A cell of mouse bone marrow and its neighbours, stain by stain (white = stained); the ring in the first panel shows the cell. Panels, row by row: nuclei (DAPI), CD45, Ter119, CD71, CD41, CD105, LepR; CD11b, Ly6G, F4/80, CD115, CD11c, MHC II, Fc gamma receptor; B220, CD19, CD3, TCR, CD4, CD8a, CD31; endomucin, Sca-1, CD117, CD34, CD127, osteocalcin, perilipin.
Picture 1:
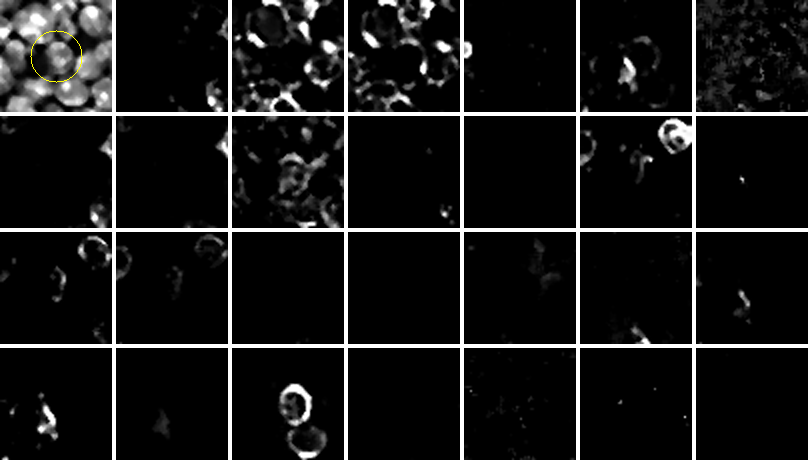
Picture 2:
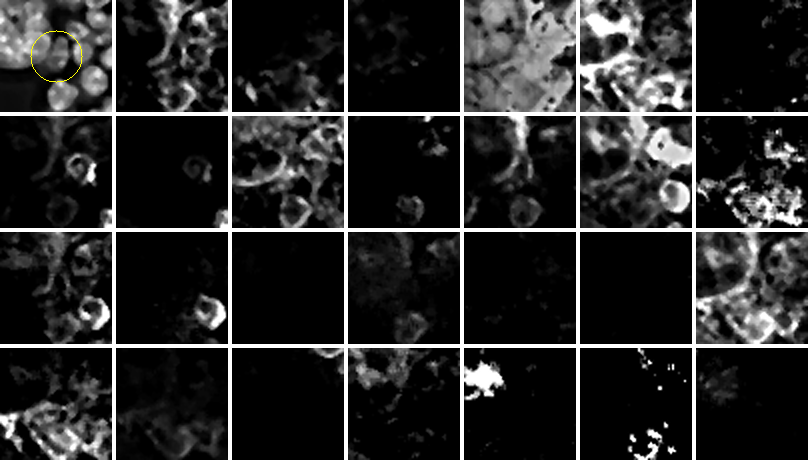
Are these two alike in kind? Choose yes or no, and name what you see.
No. First a megakaryocyte-erythroid progenitor, second a capillary endothelial cell.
